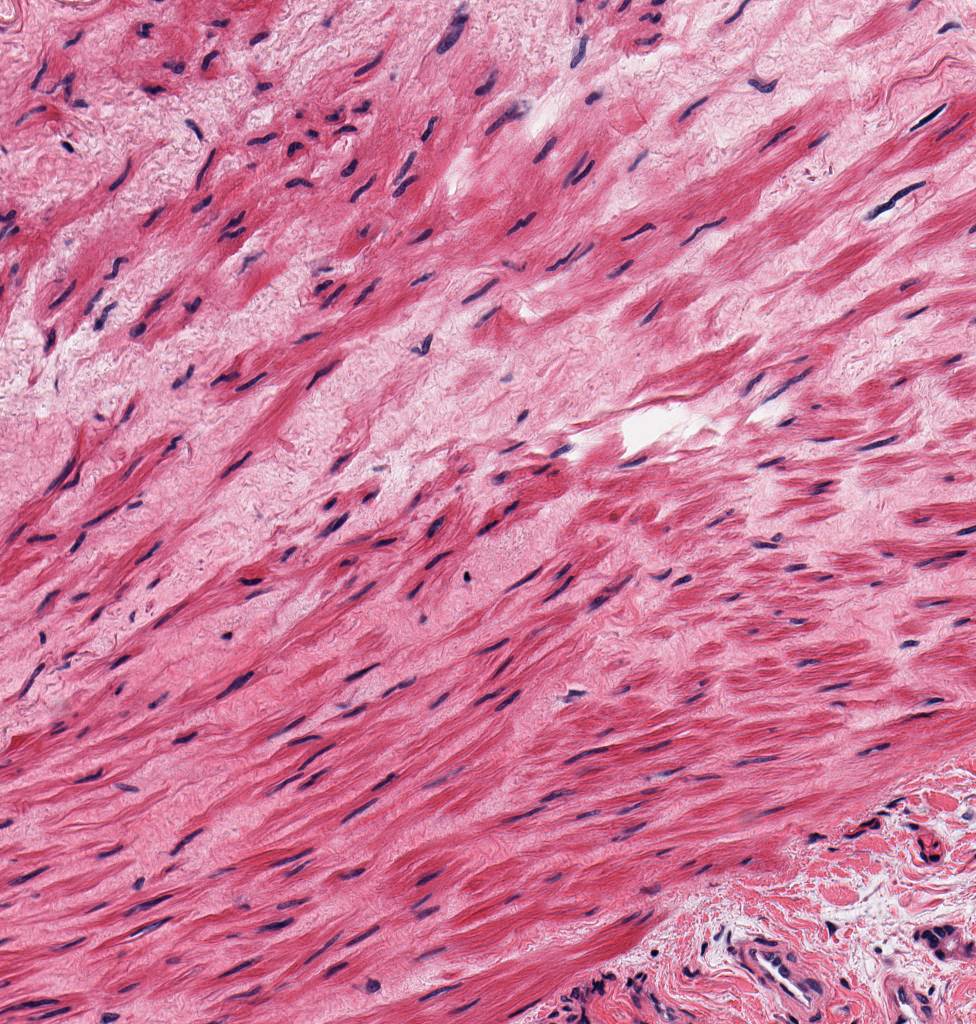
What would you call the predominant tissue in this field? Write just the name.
tunica media of an artery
